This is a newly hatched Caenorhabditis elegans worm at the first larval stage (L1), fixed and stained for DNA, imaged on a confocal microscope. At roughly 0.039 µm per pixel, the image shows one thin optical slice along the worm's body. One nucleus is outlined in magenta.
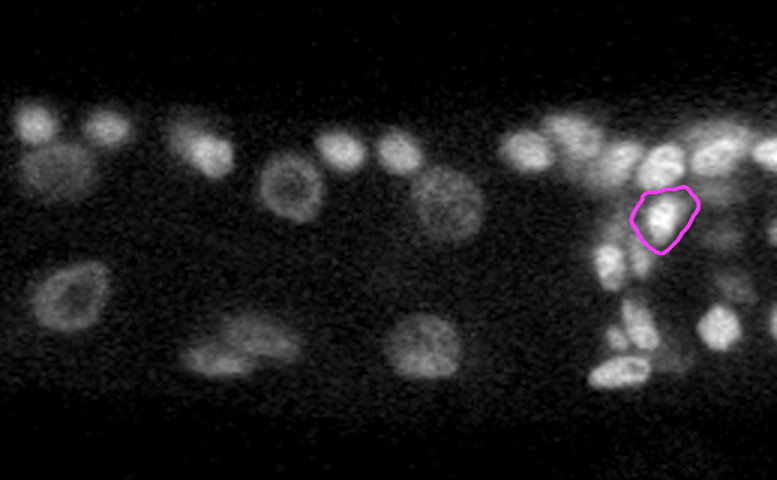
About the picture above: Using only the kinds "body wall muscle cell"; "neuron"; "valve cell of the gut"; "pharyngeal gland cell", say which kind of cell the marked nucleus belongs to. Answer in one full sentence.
The marked nucleus belongs to a pharyngeal gland cell.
